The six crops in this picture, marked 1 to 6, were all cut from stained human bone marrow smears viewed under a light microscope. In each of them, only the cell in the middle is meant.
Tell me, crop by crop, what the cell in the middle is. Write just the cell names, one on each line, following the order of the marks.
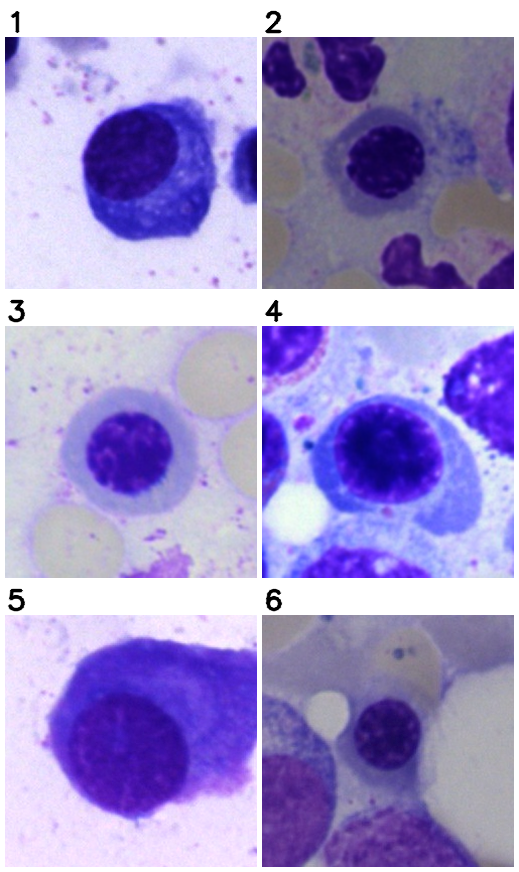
plasma cell
erythroblast
erythroblast
erythroblast
plasma cell
erythroblast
